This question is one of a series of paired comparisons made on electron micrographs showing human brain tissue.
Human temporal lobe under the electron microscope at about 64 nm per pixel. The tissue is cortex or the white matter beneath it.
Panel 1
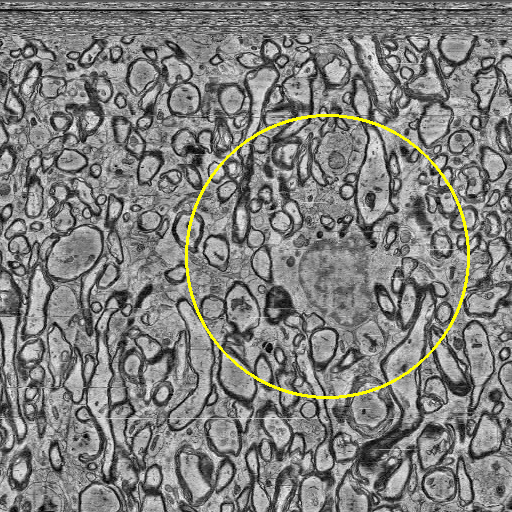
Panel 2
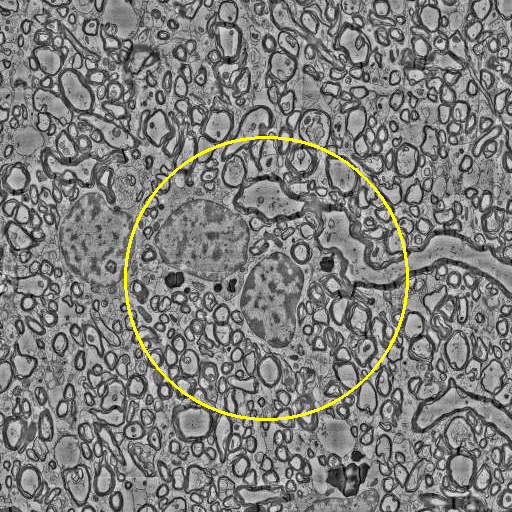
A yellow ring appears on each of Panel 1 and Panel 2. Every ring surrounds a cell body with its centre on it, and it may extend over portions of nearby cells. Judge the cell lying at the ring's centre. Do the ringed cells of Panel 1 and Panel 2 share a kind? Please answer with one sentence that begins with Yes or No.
No, the ring-centre cell in Panel 1 and the one in Panel 2 are of two kinds.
